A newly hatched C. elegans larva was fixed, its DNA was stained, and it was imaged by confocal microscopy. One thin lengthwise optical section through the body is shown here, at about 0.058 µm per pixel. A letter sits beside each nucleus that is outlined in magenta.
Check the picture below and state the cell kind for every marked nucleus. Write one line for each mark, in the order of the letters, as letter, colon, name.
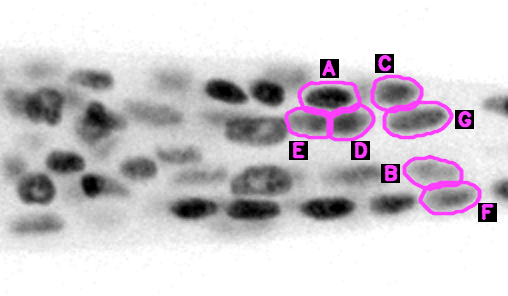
A: hypodermal cell (hyp)
B: pharyngeal epithelial cell
C: hypodermal cell (hyp)
D: pharyngeal muscle cell
E: pharyngeal muscle cell
F: hypodermal cell (hyp)
G: pharyngeal epithelial cell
